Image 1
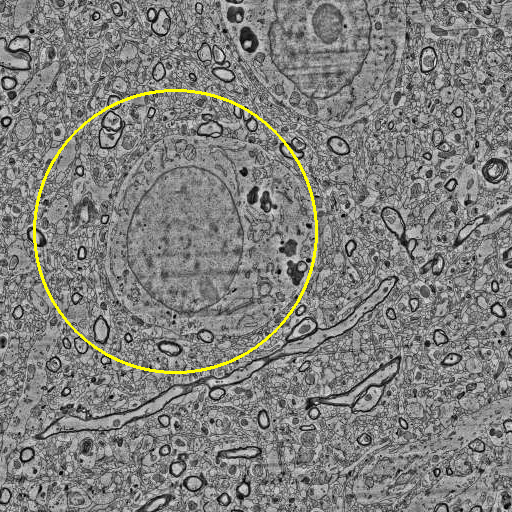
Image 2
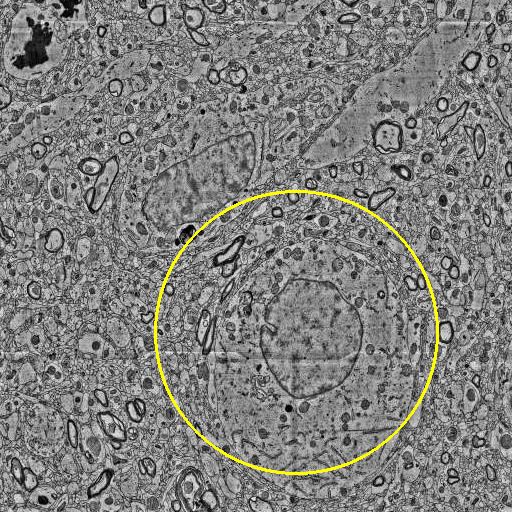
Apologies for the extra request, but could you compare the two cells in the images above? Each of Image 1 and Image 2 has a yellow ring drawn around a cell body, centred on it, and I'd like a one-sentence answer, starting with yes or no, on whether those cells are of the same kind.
Yes, both cells are of the same kind.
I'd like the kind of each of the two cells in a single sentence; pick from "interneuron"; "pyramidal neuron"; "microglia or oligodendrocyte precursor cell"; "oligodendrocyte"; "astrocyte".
In the first picture and in the second, the ring is centred on a pyramidal neuron.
